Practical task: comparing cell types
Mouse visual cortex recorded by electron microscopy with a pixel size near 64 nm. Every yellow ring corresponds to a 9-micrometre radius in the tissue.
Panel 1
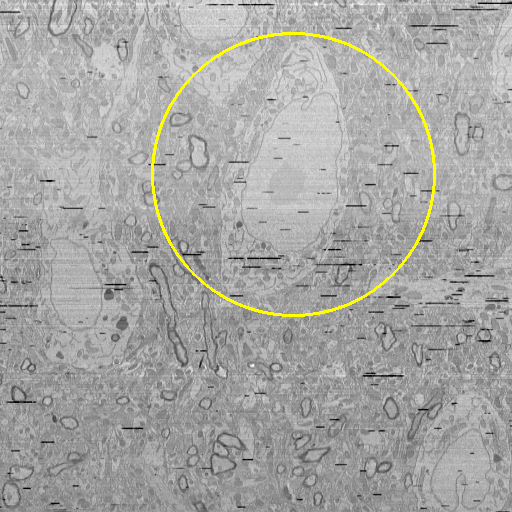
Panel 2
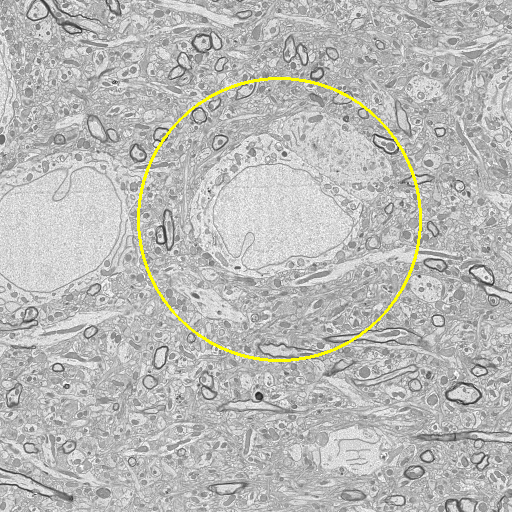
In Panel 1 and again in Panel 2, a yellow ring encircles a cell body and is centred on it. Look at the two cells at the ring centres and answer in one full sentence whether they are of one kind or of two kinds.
The two cells sitting at the ring centres of Panels 1 and 2 are of one kind.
